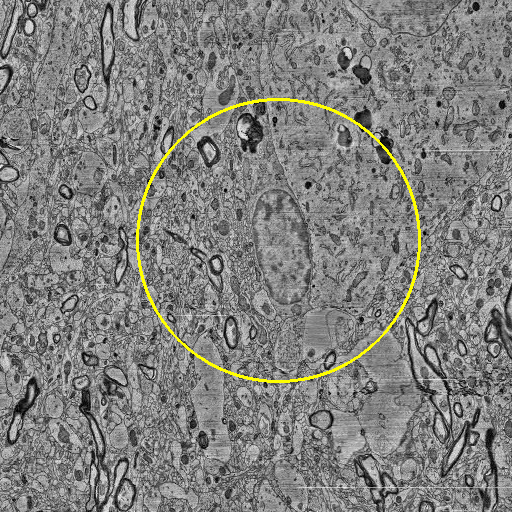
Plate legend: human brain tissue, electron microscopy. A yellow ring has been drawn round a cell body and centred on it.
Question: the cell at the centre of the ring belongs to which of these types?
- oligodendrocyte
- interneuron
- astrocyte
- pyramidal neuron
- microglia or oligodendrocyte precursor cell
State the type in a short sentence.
The cell in the middle of the ring is an oligodendrocyte.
